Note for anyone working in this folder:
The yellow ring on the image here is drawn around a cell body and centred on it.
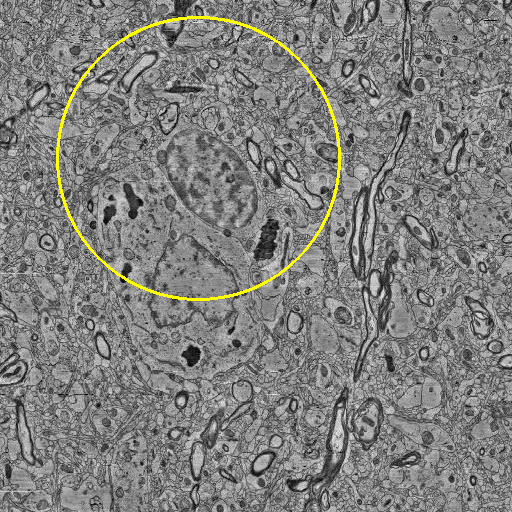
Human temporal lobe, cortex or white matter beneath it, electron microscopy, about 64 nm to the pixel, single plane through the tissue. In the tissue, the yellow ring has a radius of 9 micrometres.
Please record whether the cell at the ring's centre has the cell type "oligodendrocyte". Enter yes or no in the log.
yes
